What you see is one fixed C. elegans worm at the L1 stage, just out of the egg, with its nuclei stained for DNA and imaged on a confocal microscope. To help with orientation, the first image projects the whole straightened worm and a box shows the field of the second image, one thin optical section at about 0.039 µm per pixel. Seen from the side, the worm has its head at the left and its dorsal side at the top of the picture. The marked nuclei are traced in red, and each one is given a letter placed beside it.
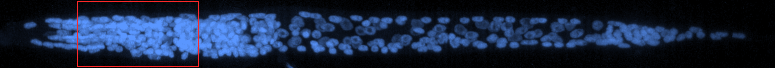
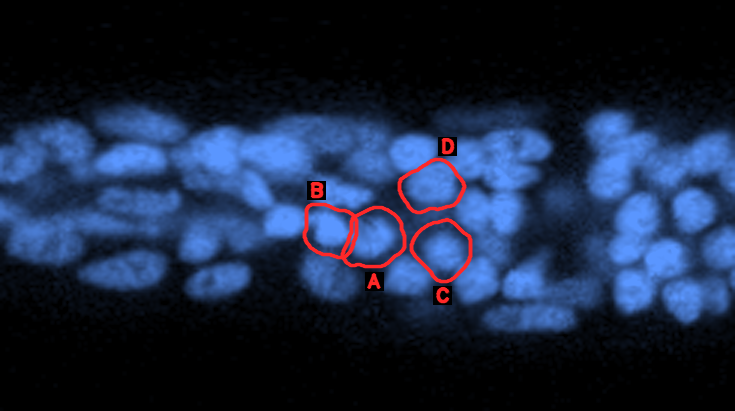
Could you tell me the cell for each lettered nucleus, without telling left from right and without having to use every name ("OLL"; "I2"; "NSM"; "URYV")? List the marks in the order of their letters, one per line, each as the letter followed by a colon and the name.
A: NSM
B: I2
C: URYV
D: OLL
